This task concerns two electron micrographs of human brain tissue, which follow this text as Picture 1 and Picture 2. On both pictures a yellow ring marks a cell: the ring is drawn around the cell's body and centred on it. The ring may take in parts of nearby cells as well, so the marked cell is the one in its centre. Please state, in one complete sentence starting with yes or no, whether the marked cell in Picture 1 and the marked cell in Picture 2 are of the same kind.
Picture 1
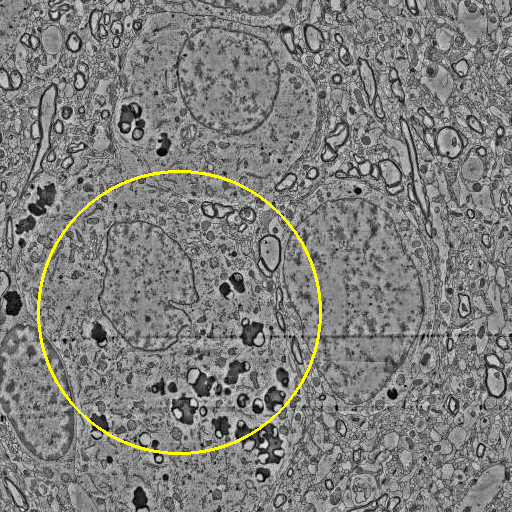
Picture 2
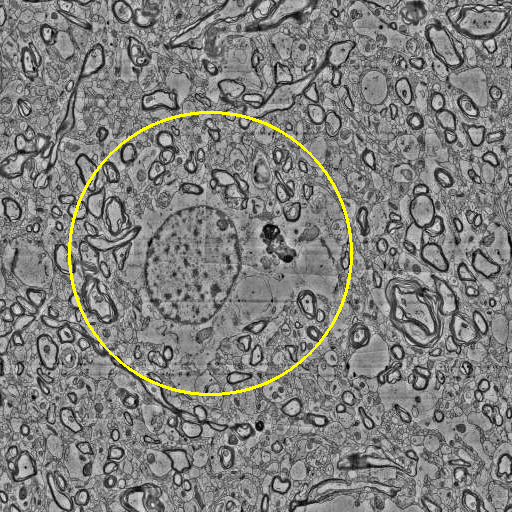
No, the marked cells in the two pictures are of two kinds.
